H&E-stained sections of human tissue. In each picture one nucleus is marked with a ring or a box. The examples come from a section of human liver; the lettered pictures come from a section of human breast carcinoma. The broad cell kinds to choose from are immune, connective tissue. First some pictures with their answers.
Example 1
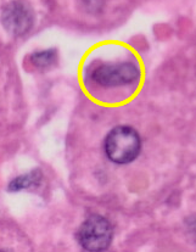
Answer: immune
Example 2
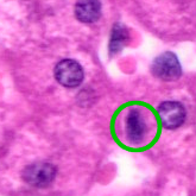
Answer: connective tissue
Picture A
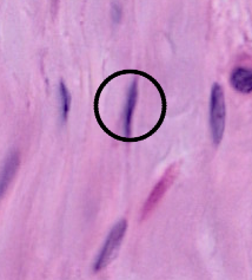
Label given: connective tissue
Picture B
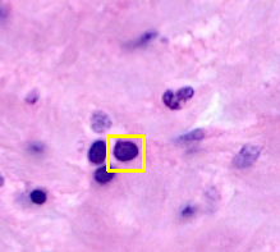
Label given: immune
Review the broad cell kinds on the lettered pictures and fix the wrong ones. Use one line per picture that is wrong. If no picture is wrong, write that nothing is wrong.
All correct.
